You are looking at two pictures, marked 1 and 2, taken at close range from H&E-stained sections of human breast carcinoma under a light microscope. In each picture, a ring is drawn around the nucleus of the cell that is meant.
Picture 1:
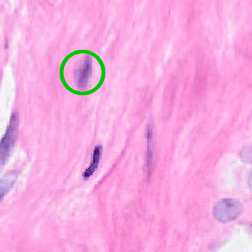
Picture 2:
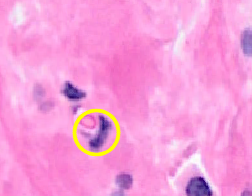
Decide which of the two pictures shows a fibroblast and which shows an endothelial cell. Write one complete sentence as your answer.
The cell in picture 1 is a fibroblast, and the one in picture 2 is an endothelial cell.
